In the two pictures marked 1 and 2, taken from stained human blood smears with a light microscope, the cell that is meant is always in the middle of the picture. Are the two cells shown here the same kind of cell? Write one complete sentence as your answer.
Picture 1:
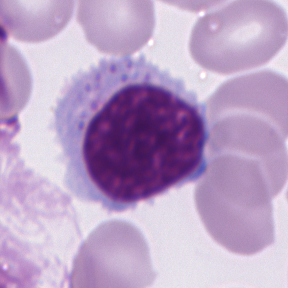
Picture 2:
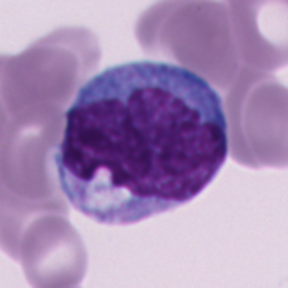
No, the types are not the same, since picture 1 shows a large granular lymphocyte and picture 2 a monocyte.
